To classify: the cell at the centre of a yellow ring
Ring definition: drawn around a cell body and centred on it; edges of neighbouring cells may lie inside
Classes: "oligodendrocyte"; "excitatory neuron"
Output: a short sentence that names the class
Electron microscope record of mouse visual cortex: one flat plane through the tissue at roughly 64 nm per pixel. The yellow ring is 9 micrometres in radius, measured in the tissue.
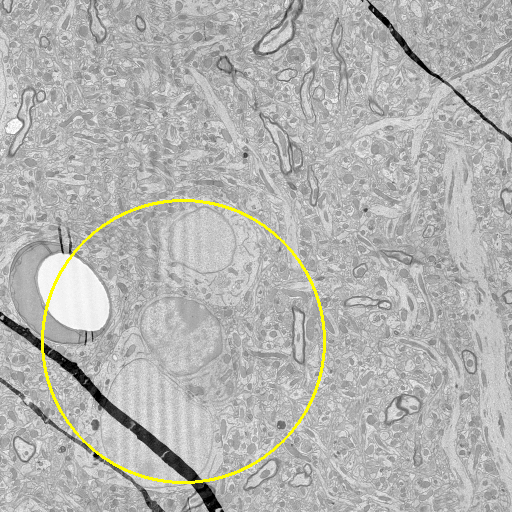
The ringed cell is an oligodendrocyte.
